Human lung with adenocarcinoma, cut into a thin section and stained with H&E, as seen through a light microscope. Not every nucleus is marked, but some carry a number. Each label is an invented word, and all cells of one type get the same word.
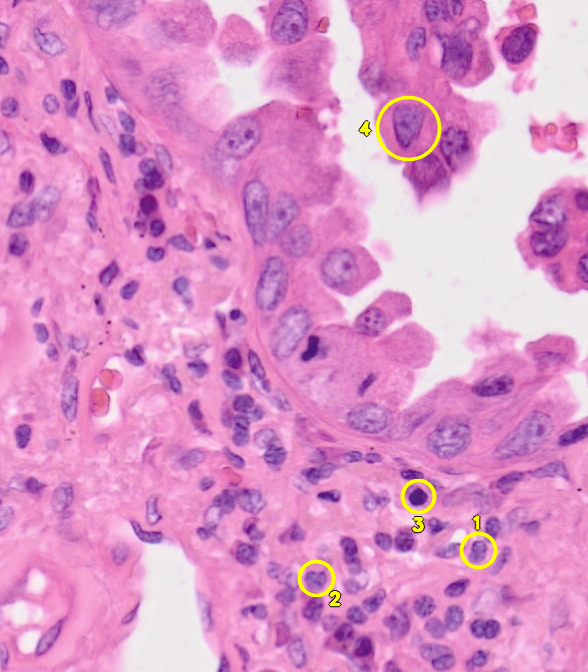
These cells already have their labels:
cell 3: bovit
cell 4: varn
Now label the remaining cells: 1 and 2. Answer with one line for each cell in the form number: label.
1: bovit
2: bovit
